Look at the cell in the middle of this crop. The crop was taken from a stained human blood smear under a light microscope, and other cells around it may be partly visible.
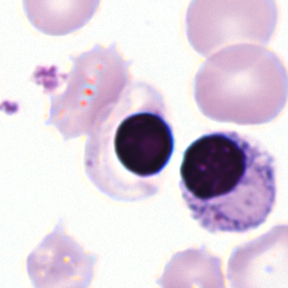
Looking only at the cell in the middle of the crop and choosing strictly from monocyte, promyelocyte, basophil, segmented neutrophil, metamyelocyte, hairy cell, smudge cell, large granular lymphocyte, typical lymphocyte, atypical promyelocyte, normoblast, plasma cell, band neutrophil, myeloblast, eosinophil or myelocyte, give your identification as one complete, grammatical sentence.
The crop's centre is taken up by a normoblast.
